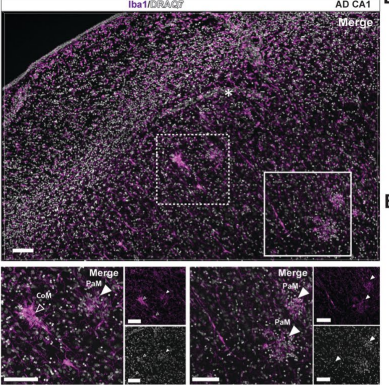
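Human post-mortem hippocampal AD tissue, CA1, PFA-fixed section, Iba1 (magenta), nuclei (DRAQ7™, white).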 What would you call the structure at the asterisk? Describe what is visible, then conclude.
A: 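A blood vessel. The asterisk sits on a long thin tubular band running through the tissue.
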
